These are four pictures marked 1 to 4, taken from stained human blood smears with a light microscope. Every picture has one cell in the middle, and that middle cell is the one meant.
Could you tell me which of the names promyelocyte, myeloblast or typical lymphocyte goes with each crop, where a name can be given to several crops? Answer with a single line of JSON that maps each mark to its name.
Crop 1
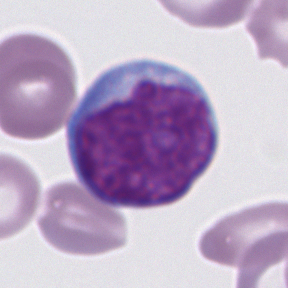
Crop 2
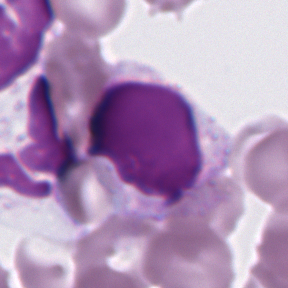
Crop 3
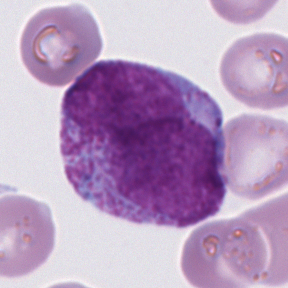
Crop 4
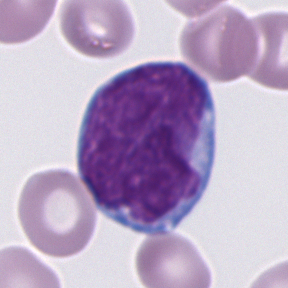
{"1": "myeloblast", "2": "typical lymphocyte", "3": "promyelocyte", "4": "myeloblast"}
